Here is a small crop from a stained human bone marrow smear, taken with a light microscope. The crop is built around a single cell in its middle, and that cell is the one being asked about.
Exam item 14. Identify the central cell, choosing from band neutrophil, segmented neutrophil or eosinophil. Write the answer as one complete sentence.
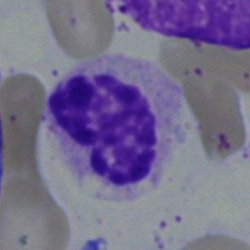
As for the central cell, it is a band neutrophil.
